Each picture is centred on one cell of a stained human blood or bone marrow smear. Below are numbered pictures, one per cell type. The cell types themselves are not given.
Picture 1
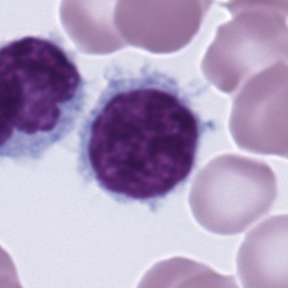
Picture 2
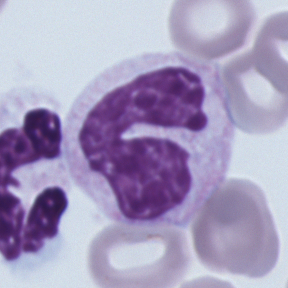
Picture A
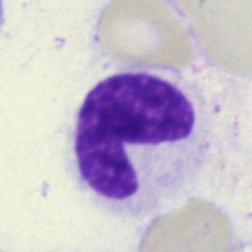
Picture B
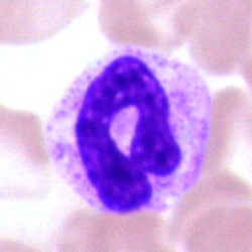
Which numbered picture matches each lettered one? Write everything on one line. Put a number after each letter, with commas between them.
A 2, B 2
